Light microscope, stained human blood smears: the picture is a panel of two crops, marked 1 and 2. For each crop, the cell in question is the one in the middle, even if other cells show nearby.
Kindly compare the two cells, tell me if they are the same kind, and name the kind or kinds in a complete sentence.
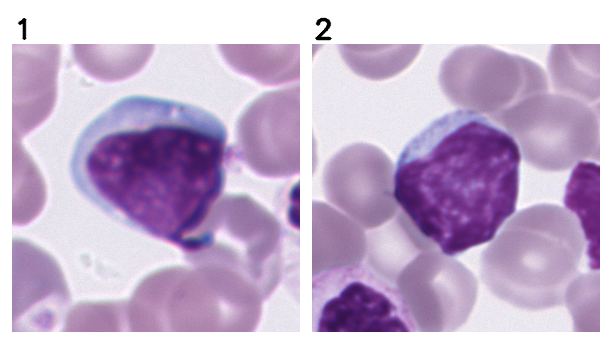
Yes, typical lymphocytes are shown in both crops.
